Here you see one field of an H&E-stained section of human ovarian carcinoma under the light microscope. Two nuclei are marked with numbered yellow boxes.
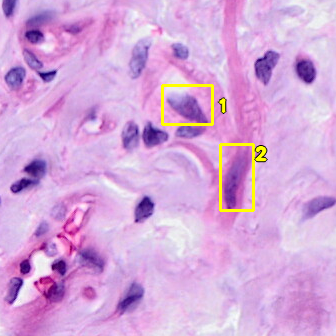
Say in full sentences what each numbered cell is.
Cell 1 is an endothelial cell. Cell 2 is a smooth muscle cell.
